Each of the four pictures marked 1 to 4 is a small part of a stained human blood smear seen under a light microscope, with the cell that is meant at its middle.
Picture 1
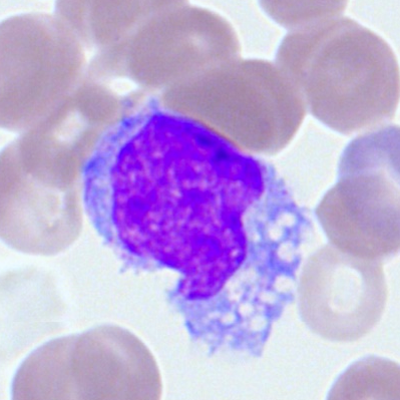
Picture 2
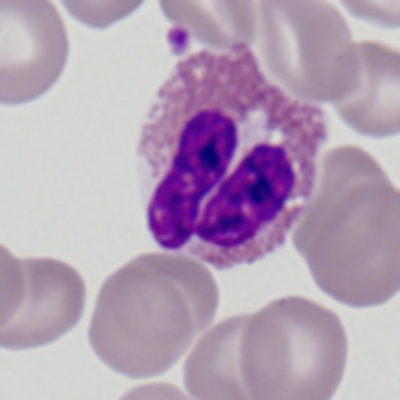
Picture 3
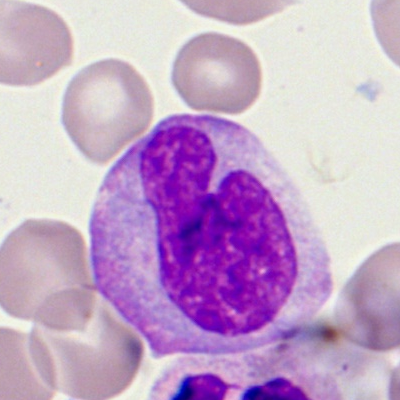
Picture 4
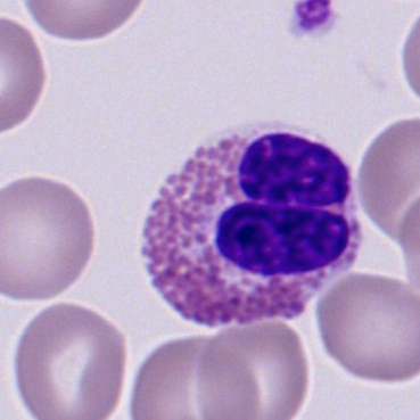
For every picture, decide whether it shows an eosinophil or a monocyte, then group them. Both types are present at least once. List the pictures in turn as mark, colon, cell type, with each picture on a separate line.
1: monocyte
2: eosinophil
3: monocyte
4: eosinophil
